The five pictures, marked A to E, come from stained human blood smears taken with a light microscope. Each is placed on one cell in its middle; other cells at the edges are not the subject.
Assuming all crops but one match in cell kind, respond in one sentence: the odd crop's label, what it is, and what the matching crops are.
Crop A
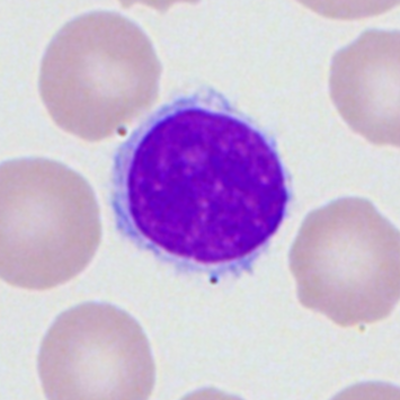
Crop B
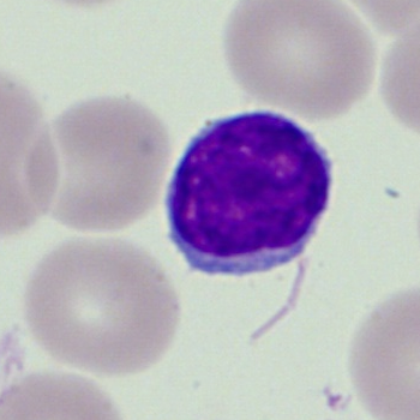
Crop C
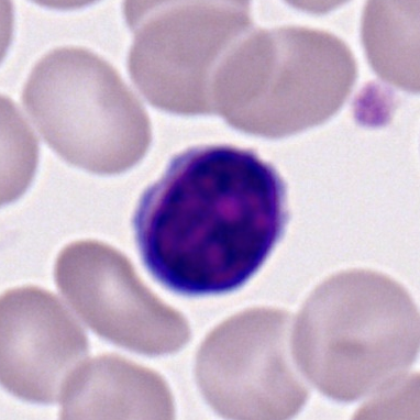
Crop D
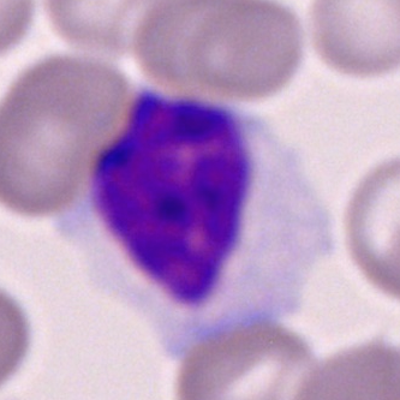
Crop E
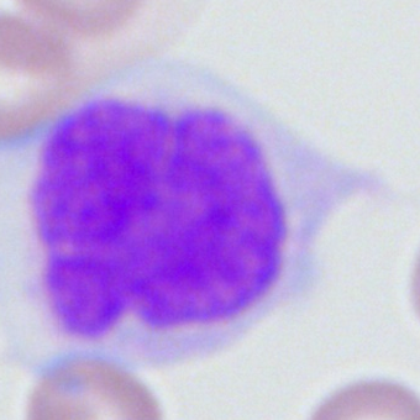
The exception is crop E, with a monocyte; the remaining crops all show lymphocytes.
